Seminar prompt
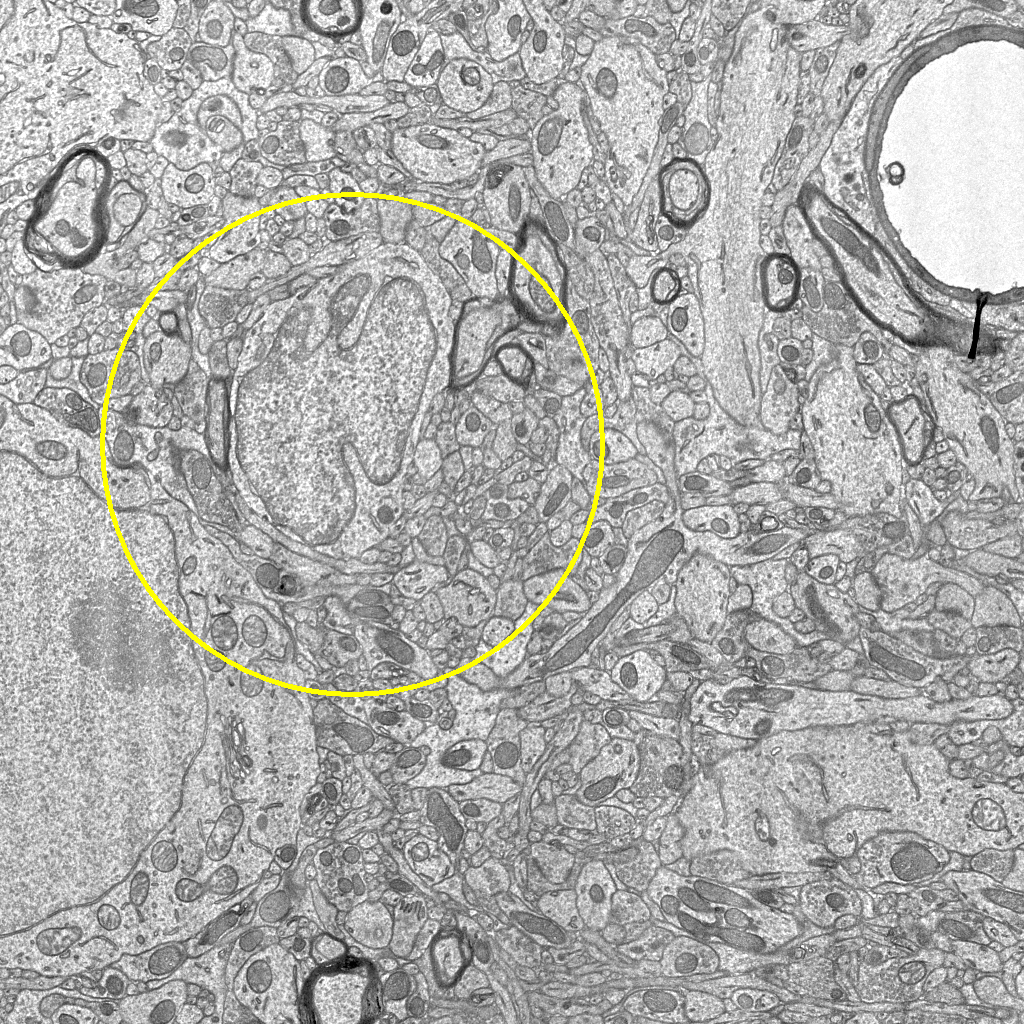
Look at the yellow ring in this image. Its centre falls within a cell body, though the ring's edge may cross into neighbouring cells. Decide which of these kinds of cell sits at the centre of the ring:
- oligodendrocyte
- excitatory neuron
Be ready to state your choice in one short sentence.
The kind of cell at the ring's centre is an oligodendrocyte.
